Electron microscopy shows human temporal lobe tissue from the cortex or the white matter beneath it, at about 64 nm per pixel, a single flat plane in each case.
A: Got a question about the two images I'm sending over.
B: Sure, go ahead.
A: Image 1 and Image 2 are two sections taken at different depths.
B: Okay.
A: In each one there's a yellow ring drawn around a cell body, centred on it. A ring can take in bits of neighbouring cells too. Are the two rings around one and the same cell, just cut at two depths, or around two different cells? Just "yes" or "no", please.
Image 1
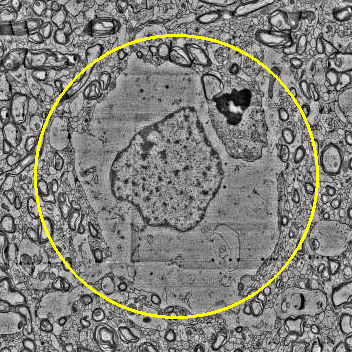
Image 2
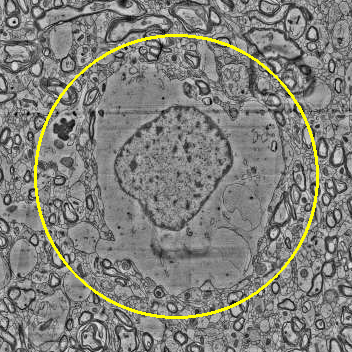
yes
